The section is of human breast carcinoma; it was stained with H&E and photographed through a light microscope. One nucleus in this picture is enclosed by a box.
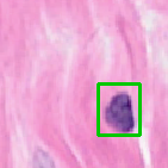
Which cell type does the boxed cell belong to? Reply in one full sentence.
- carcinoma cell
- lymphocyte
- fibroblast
Speaking plainly, the boxed cell is nothing other than a lymphocyte.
